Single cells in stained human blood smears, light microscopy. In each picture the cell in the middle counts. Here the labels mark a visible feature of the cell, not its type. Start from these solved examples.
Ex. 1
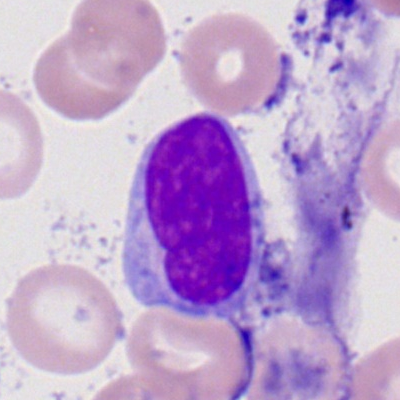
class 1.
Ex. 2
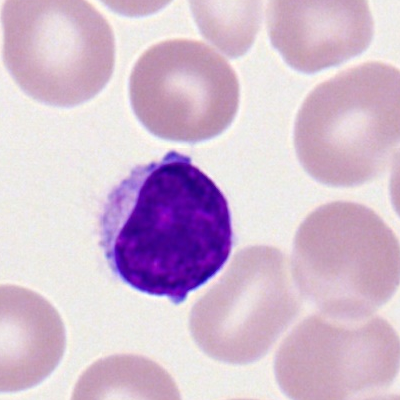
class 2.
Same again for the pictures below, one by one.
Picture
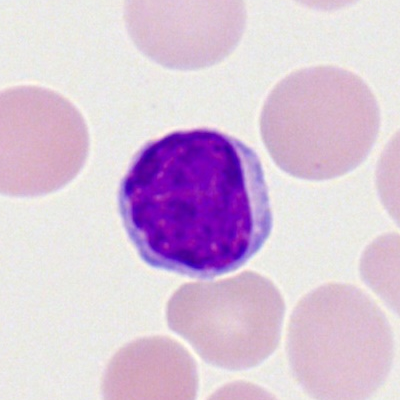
class 1.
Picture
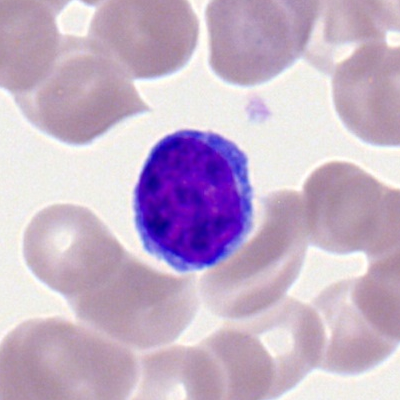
class 1.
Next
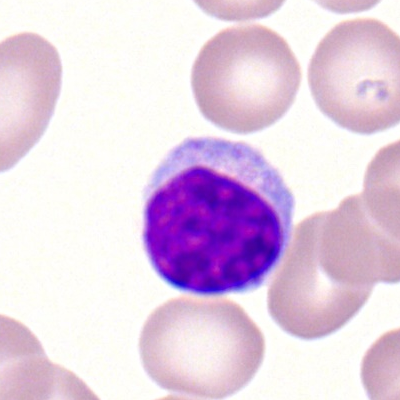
class 1.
